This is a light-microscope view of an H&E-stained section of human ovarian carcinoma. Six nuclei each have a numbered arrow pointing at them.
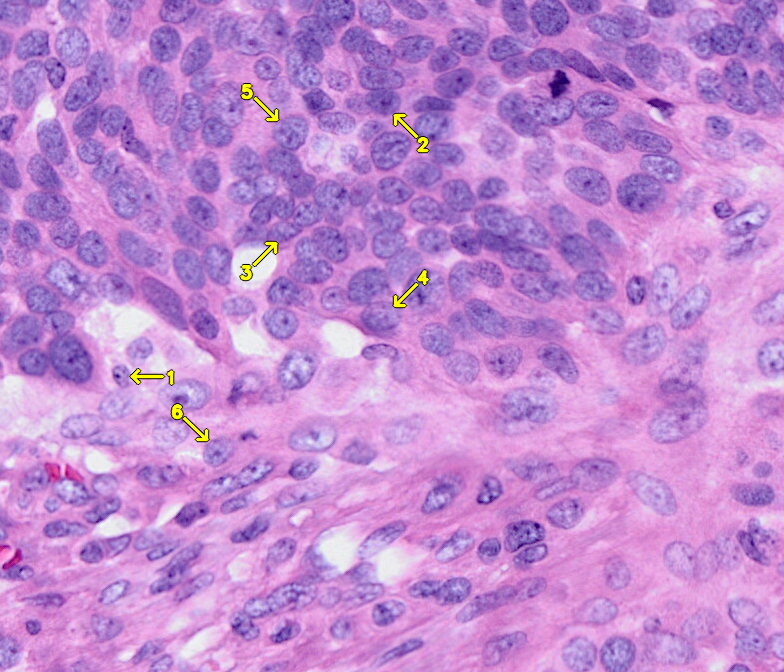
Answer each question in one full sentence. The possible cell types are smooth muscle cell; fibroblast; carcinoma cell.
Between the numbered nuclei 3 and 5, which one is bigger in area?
Number 5 is larger; its area is about 2 times that of number 3.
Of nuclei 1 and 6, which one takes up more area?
At about 2.5 times the area of nucleus 1, nucleus 6 is the larger of the two.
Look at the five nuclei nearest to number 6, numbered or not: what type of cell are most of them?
Fibroblasts account for more than half of the five nuclei nearest to number 6.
